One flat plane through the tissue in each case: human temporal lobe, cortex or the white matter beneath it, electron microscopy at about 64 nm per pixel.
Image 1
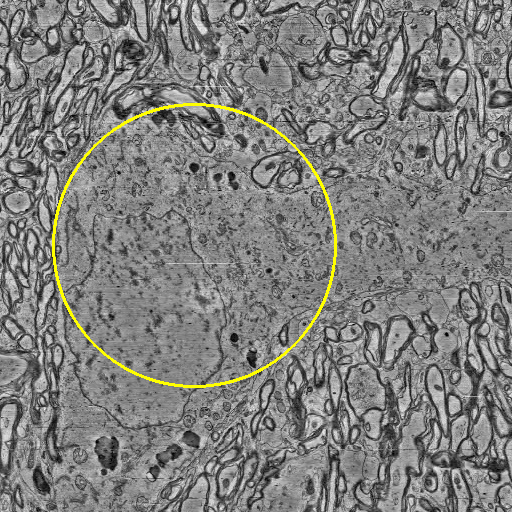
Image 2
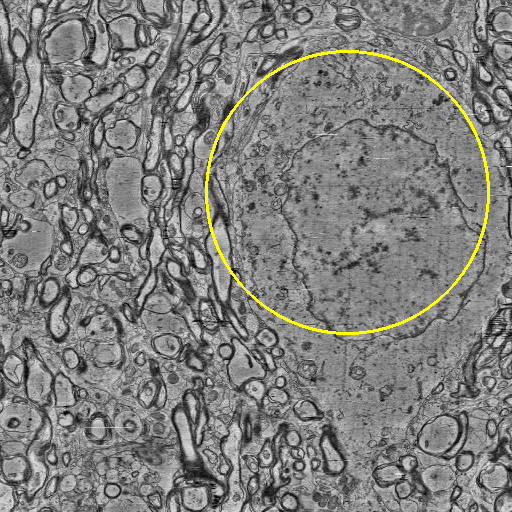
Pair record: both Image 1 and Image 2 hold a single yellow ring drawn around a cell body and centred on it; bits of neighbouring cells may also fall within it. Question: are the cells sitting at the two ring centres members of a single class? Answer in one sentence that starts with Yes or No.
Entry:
Yes, both ring-centre cells in Image 1 and Image 2 are members of one class.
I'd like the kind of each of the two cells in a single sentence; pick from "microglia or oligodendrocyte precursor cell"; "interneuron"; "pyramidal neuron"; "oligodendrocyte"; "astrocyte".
In each of the two pictures, the ringed cell is a pyramidal neuron.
